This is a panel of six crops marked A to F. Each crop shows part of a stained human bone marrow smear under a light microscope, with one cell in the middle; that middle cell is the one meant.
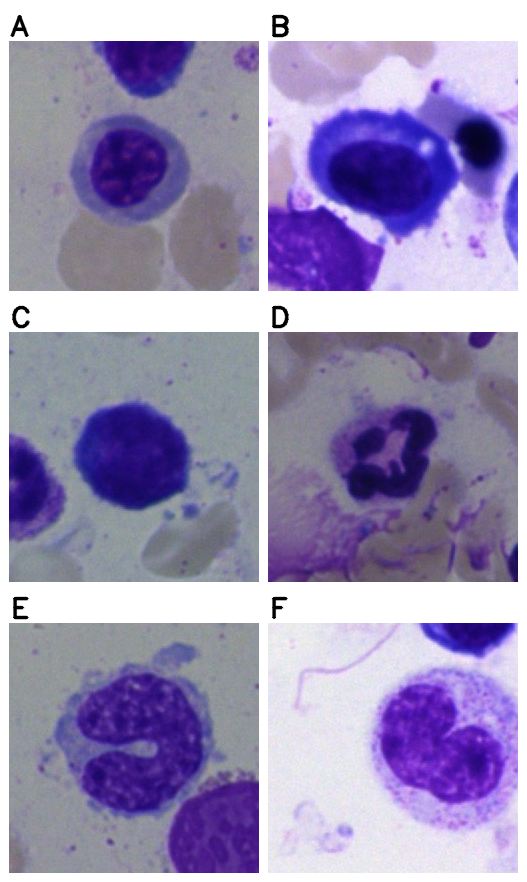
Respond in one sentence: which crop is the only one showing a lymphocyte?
The crop marked C is the one in which a lymphocyte is shown.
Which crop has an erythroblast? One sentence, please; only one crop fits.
Identified crop: A, the one that shows an erythroblast.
